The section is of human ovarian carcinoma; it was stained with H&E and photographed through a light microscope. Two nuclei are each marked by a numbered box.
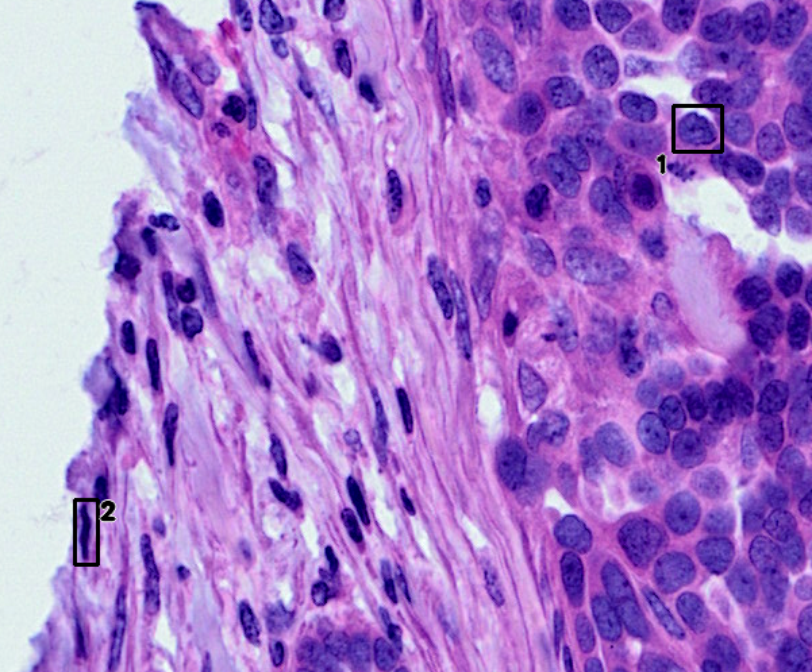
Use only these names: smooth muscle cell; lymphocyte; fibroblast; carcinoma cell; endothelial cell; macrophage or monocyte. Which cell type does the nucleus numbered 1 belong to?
carcinoma cell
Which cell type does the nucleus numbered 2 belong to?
fibroblast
